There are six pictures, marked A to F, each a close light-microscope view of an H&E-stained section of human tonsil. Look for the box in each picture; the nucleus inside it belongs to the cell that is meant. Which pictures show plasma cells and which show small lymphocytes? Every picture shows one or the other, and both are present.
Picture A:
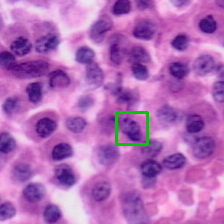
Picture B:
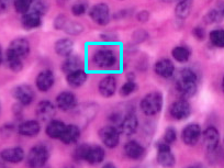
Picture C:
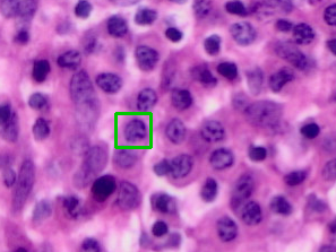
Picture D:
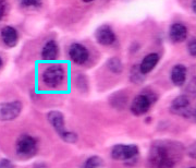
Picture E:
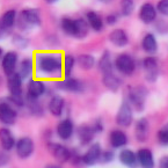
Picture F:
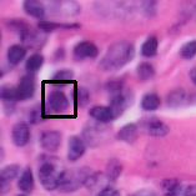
A: plasma cell
B: plasma cell
C: plasma cell
D: plasma cell
E: small lymphocyte
F: small lymphocyte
